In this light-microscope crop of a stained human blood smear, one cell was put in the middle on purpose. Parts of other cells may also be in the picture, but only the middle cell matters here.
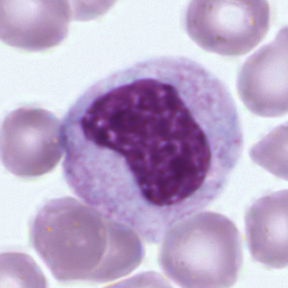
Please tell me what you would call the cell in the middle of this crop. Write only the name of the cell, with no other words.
metamyelocyte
